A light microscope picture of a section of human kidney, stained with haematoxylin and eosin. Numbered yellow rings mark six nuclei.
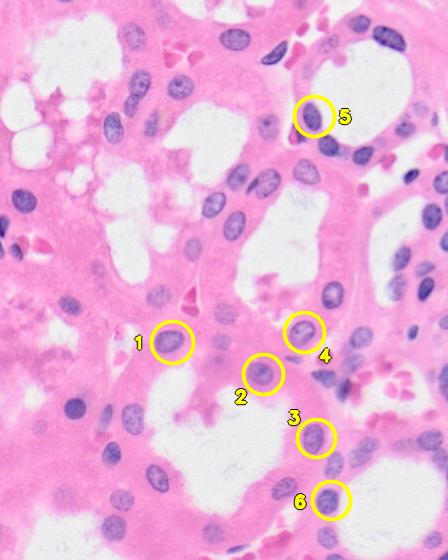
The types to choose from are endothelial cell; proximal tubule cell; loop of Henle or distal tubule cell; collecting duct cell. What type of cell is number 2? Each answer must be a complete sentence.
Cell number 2 in this section is a proximal tubule cell.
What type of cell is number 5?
Identified as a collecting duct cell is the cell bearing the number 5.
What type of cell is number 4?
In the tissue shown, cell 4 is a proximal tubule cell.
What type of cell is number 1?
The label 1 in this section denotes a proximal tubule cell.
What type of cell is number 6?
The cell pointed out by number 6 is a collecting duct cell.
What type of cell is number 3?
In the marked set, the cell given number 3 is a proximal tubule cell.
